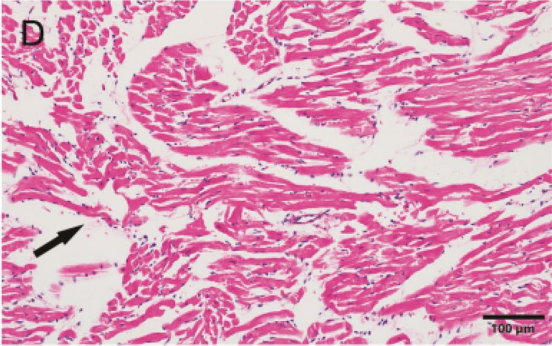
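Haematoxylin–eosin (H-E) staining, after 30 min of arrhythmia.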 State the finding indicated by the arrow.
Myocardial wavy-like.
